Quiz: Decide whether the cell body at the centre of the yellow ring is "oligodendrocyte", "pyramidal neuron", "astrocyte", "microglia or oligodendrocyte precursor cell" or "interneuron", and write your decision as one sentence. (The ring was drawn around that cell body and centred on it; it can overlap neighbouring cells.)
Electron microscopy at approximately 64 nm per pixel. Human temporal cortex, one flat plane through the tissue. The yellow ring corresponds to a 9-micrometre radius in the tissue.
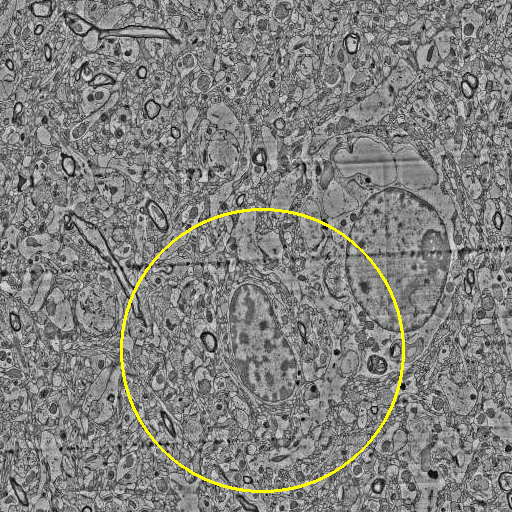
The cell the ring is centred on is a microglial cell or oligodendrocyte precursor cell.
